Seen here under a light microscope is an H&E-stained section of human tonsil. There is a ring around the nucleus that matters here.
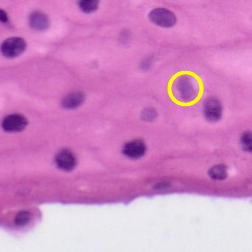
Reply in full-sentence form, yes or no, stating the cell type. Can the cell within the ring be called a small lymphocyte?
No, the cell within the ring is identified as a squamous epithelial cell and not as a small lymphocyte.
